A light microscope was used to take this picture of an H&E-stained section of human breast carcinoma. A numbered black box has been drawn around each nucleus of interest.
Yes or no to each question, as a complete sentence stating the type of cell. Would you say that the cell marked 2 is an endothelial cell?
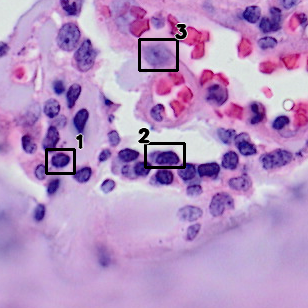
No, cell 2 is classified as a lymphocyte rather than an endothelial cell.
